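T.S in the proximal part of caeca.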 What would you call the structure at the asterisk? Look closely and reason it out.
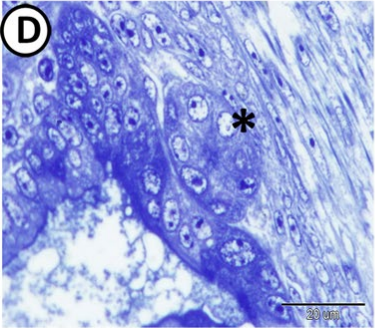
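Spindle-shaped connective tissue cells lie beside it. That points to this answer: crypts of Lieberkuhn.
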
